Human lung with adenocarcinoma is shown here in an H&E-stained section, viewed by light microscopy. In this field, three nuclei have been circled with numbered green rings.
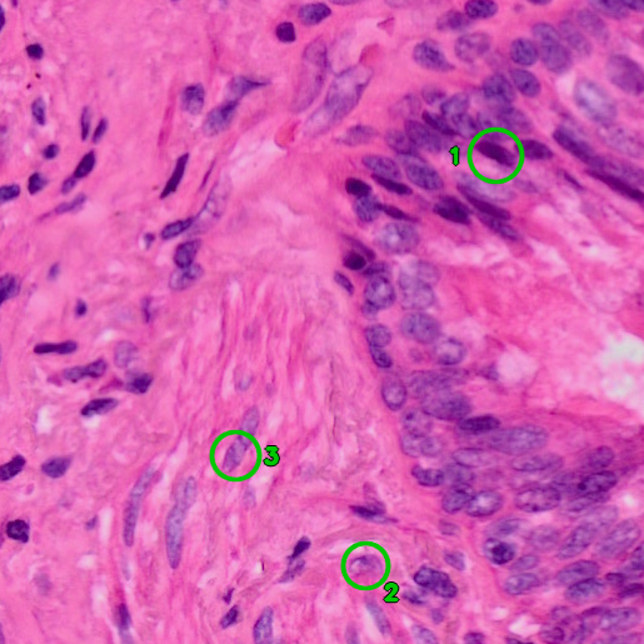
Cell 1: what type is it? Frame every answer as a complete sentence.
The cell identified by the number 1 is a ciliated epithelial cell.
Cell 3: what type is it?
The cell that bears the number 3 is a smooth muscle cell or pericyte.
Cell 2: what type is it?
Nucleus 2 in this section belongs to a smooth muscle cell or pericyte.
